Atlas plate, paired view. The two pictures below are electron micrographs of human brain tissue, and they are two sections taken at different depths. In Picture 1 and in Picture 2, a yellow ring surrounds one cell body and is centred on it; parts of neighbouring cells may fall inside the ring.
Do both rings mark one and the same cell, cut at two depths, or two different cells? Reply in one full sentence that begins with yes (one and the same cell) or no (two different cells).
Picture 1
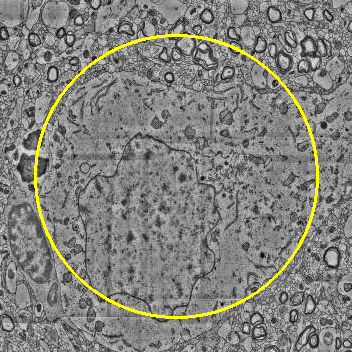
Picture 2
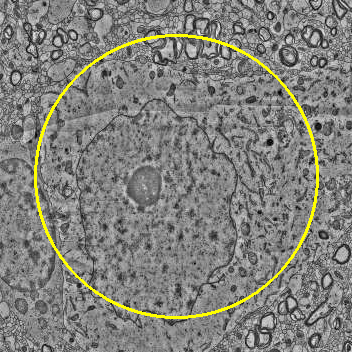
Yes, the two rings refer to one cell in the tissue.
